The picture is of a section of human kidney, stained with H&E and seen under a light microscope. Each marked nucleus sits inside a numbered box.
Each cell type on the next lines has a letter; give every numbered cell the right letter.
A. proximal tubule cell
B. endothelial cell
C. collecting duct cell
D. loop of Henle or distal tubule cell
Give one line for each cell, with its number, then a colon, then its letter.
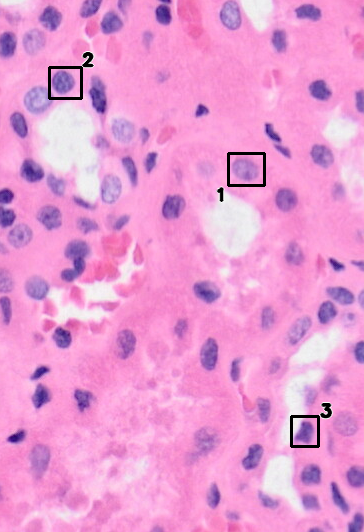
1: A
2: C
3: D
